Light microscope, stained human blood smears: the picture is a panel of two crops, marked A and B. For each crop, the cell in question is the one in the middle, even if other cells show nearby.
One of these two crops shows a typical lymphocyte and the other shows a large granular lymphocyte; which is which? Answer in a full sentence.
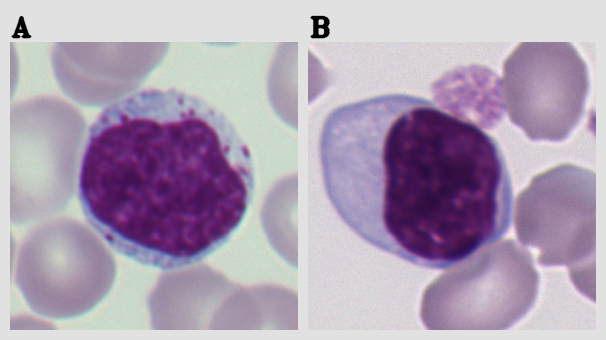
Shown in crop A is a large granular lymphocyte, and shown in crop B is a typical lymphocyte.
